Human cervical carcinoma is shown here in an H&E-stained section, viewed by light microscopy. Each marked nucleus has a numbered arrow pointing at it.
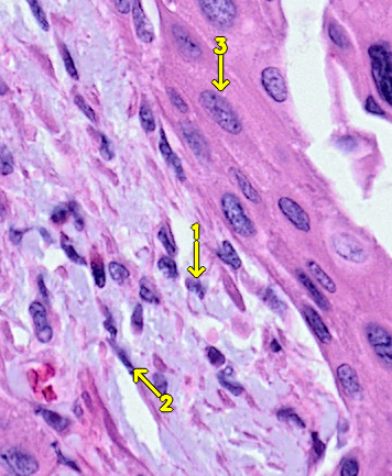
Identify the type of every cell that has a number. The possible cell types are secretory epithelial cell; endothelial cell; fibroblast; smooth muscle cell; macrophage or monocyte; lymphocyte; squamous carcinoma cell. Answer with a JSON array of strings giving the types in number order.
["fibroblast", "fibroblast", "squamous carcinoma cell"]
